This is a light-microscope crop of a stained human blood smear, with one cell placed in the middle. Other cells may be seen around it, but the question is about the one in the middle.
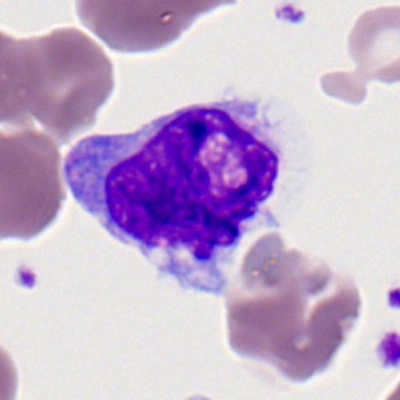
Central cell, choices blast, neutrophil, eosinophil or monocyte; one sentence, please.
For this crop, the central cell is a monocyte.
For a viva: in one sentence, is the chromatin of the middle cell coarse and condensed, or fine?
Just so you know, its chromatin is coarsely clumped.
